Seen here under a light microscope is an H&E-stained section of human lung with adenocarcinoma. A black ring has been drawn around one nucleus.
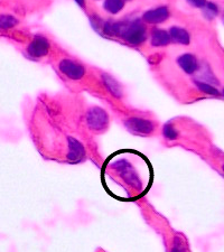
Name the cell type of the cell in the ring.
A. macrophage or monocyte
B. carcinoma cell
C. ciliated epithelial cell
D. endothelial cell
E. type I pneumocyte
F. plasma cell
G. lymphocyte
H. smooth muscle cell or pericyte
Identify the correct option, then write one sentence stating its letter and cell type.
As stated in option E, the cell in the ring is a type I pneumocyte.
